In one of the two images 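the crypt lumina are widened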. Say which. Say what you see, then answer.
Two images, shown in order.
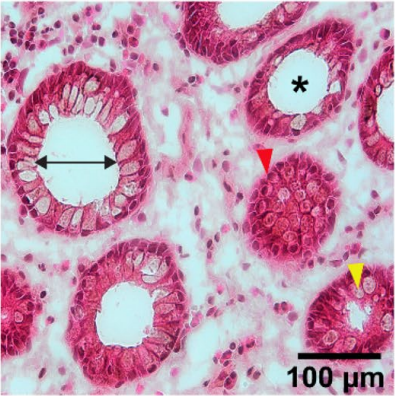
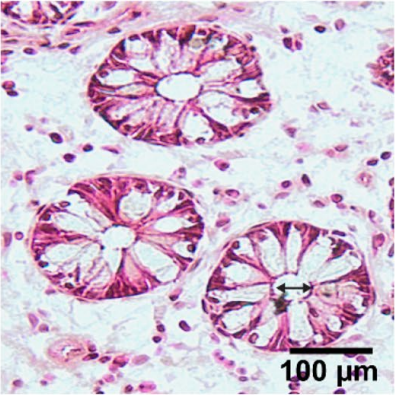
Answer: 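The first image. First image: several crypts have wide clear central spaces surrounded by a thin rim of epithelium. Second image: each crypt has only a small central opening surrounded by a thick ring of radiating cells.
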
